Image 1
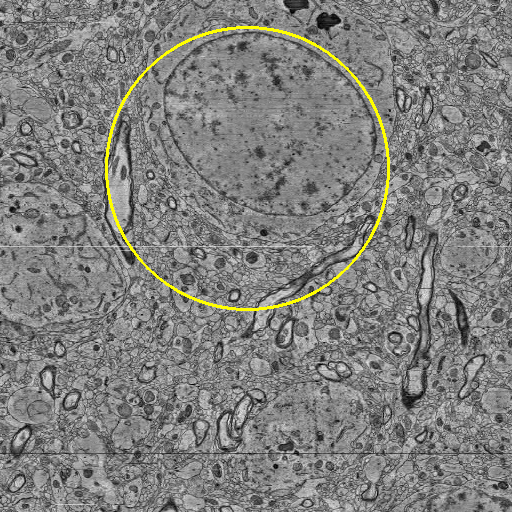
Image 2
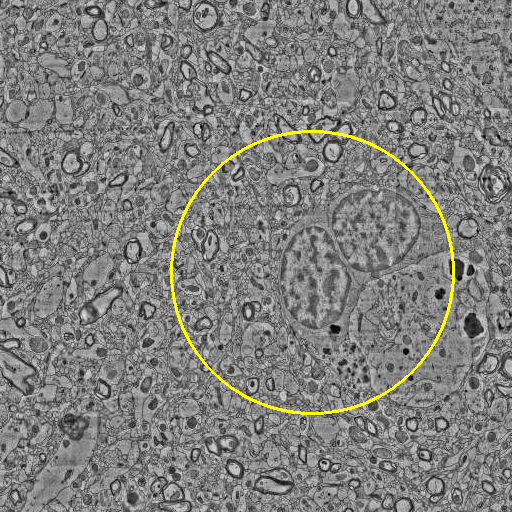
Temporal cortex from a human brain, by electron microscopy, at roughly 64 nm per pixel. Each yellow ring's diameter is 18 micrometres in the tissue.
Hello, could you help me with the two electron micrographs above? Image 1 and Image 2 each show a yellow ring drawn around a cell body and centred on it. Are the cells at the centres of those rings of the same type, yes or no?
no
